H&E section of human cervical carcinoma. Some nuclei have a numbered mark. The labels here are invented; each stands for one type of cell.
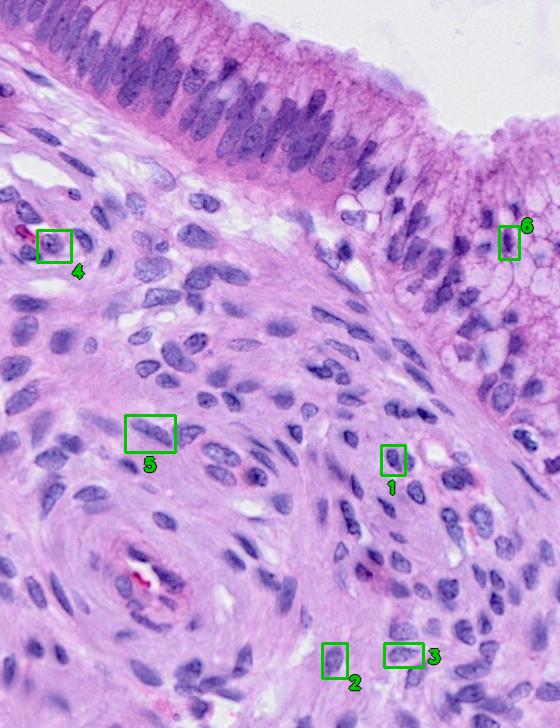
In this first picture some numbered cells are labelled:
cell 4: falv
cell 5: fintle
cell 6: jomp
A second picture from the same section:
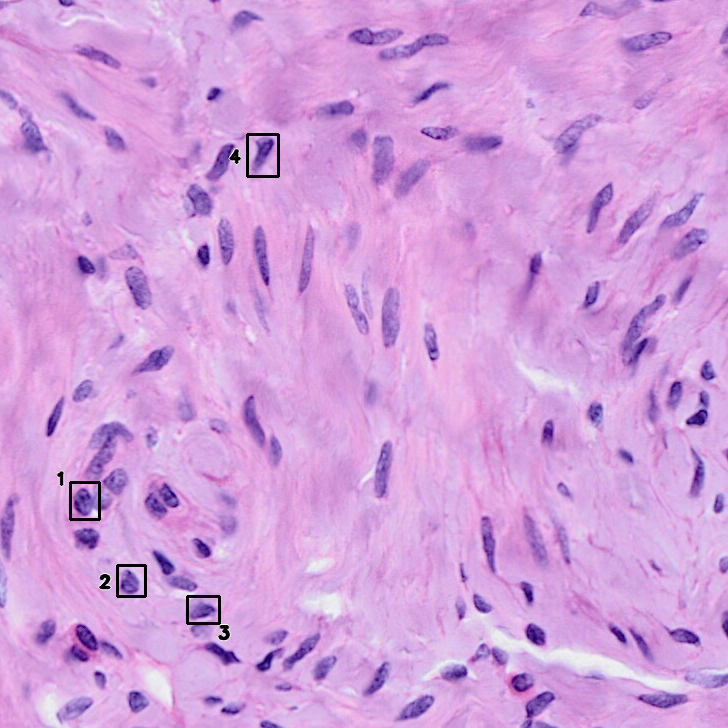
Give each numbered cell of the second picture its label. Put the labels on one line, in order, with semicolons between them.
falv; fintle; fintle; fintle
